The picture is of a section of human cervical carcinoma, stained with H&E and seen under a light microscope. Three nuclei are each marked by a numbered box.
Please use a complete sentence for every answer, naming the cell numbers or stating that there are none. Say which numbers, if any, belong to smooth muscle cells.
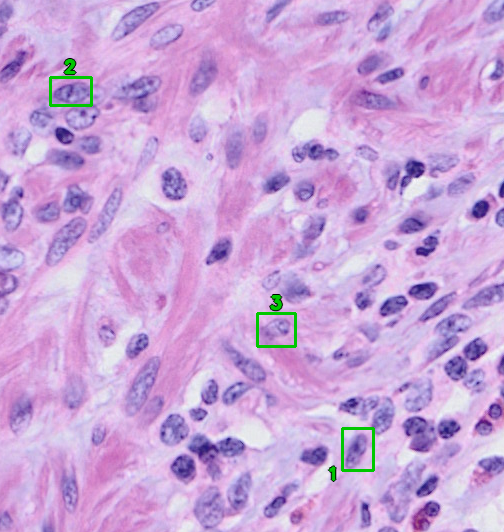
Only one choice fits: cell 3 is a smooth muscle cell, and no other.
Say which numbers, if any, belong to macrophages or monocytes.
Only one choice fits: cell 1 is a macrophage or monocyte, and no other.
